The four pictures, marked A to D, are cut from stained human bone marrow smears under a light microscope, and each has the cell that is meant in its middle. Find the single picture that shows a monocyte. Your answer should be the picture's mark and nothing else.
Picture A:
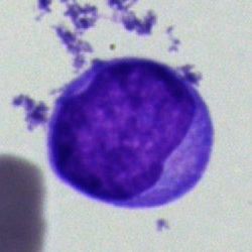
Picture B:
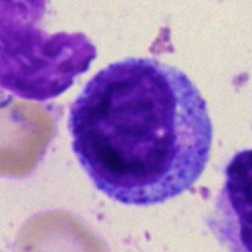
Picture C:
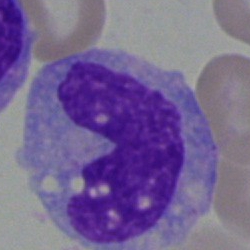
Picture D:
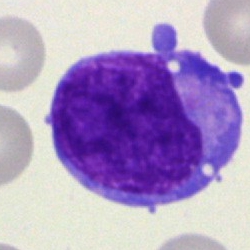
C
